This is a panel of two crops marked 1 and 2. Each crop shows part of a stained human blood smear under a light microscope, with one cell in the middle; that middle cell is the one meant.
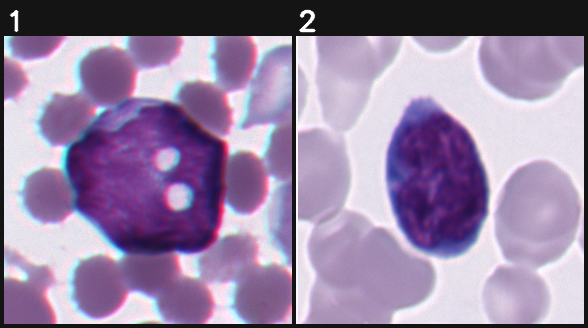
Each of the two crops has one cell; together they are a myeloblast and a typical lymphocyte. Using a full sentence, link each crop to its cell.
Taken crop by crop, crop 1 is a myeloblast and crop 2 is a typical lymphocyte.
